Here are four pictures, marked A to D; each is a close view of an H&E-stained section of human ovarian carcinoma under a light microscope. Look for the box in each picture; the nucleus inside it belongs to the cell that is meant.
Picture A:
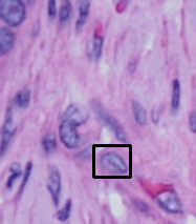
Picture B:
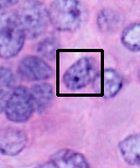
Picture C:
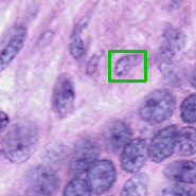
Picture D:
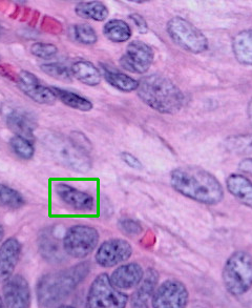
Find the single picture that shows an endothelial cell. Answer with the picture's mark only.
A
